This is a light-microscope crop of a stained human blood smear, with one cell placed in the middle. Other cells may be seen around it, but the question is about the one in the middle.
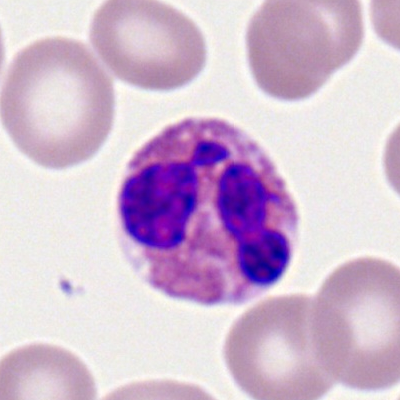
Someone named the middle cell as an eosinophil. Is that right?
yes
